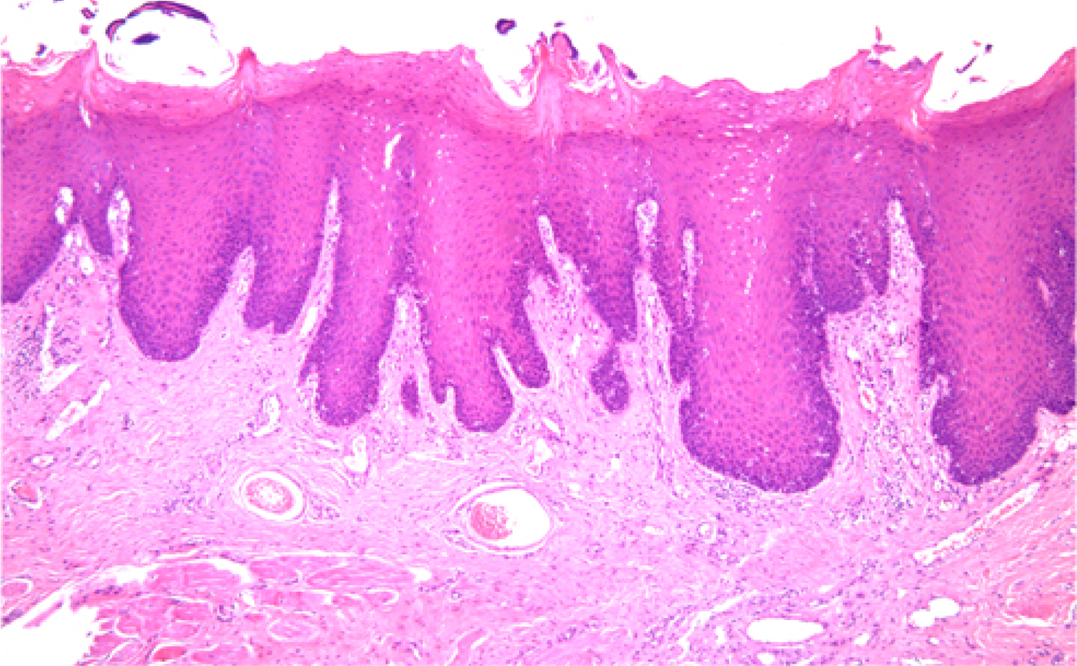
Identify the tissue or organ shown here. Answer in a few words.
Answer: Tongue.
